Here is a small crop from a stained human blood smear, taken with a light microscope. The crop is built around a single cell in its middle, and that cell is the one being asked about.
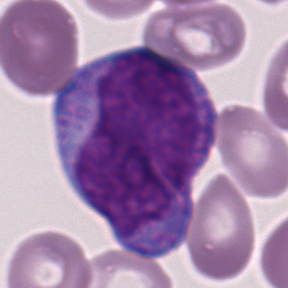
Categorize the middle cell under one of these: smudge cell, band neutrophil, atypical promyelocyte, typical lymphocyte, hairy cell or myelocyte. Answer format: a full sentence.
Present in the middle of the crop is an atypical promyelocyte.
